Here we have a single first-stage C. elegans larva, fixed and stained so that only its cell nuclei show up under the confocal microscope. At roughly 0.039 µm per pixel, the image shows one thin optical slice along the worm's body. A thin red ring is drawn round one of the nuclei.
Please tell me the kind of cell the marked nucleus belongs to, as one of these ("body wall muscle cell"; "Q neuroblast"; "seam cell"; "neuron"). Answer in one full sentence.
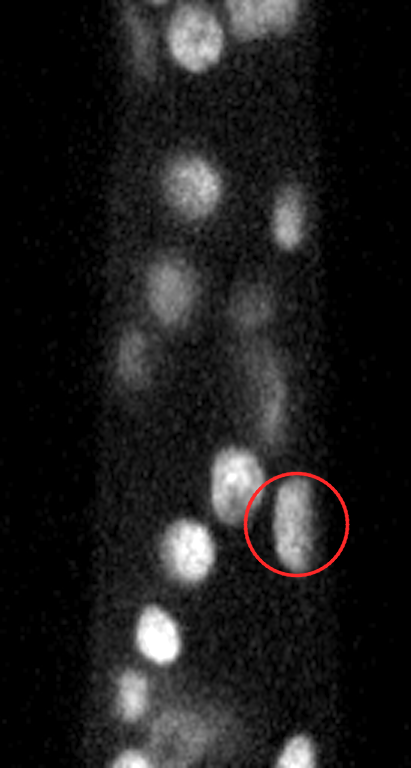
This is the nucleus of a body wall muscle cell.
